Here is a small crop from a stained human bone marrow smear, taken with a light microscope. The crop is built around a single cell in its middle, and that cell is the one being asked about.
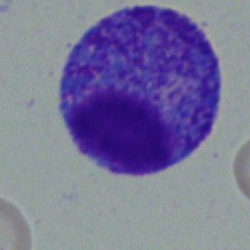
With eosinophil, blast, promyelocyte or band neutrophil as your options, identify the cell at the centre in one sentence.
This particular crop is centered on a promyelocyte.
